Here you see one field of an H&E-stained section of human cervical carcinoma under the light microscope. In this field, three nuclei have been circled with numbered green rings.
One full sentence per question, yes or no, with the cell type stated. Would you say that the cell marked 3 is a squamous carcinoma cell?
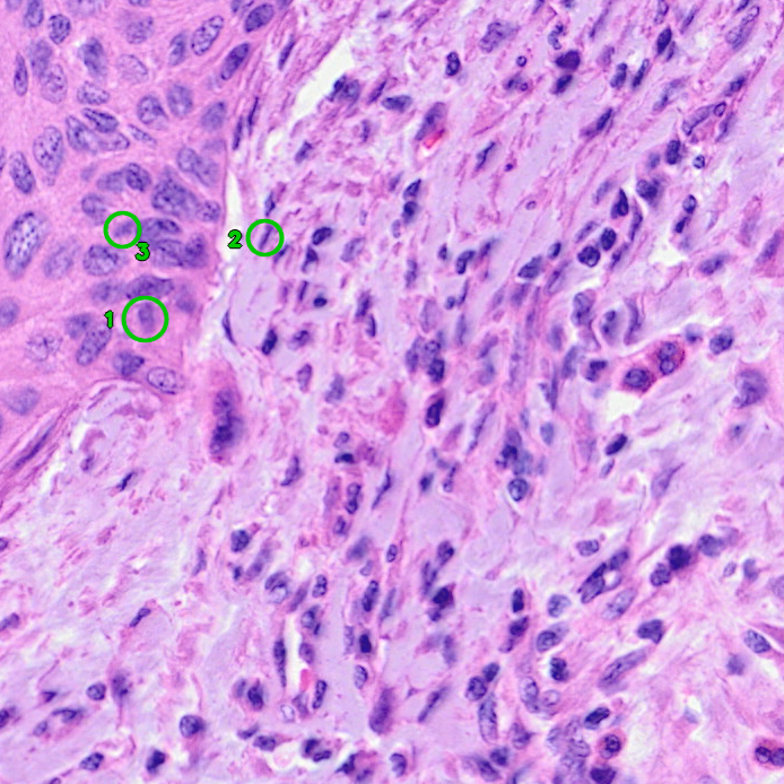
Yes, the cell with number 3 is a squamous carcinoma cell.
